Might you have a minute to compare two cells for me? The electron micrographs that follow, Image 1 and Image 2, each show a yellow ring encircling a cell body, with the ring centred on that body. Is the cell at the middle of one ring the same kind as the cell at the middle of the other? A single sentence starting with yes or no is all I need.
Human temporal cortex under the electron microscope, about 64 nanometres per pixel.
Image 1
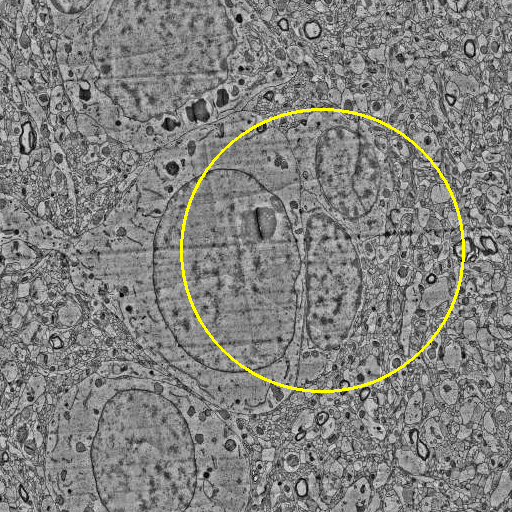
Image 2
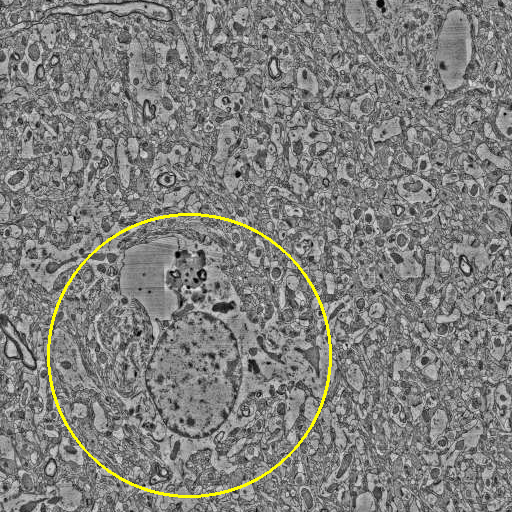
No, the cells in the middle of the two rings are of two separate kinds.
